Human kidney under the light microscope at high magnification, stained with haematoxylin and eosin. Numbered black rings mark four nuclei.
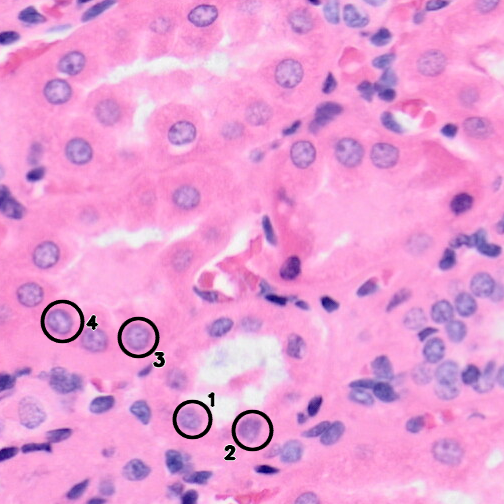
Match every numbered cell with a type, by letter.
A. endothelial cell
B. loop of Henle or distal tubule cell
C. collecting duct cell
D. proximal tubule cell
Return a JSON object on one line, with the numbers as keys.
{"1": "B", "2": "B", "3": "D", "4": "D"}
